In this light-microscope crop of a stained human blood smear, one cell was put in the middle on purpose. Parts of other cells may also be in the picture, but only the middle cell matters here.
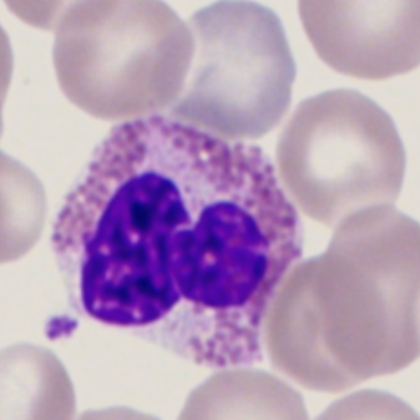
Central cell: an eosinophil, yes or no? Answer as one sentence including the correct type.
Yes, shown in the middle of the crop is an eosinophil.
